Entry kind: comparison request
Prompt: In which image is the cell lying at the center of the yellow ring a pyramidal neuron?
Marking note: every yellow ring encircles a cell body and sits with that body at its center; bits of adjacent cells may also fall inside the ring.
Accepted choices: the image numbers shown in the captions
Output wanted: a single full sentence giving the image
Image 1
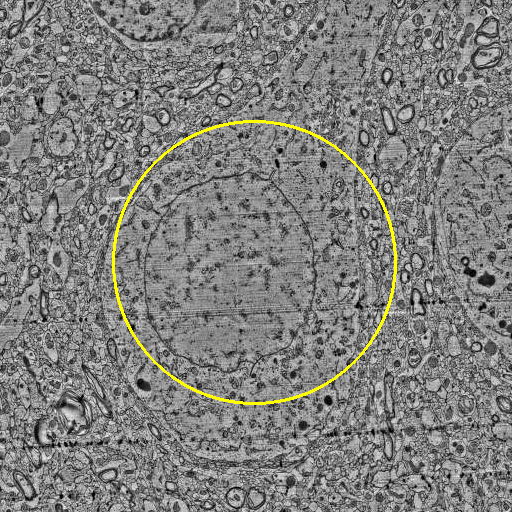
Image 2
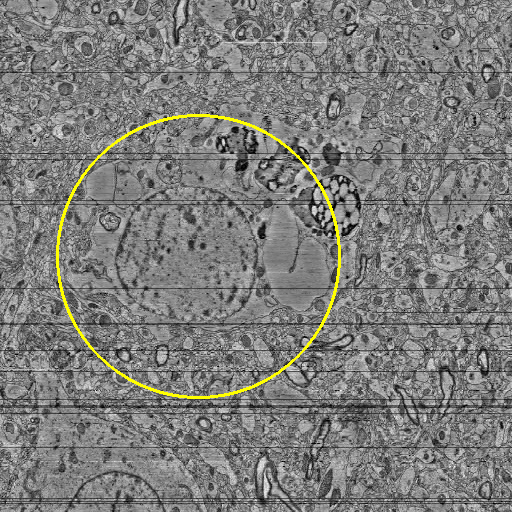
In image 1, the ringed cell at the center matches the prompt.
